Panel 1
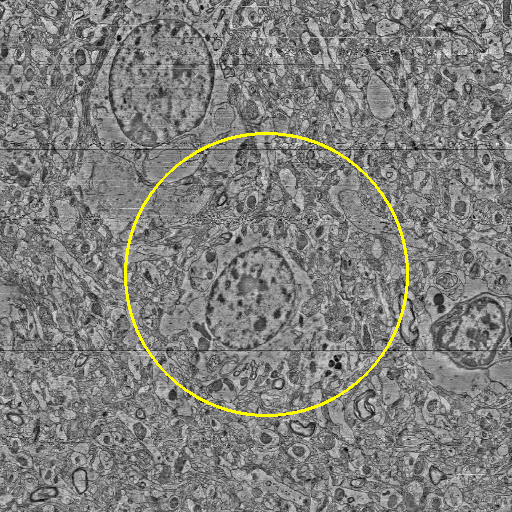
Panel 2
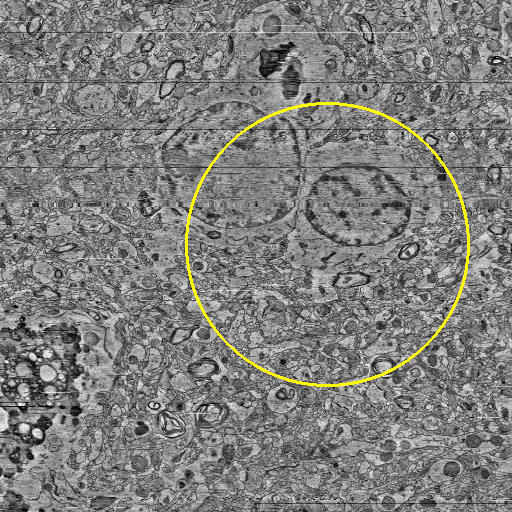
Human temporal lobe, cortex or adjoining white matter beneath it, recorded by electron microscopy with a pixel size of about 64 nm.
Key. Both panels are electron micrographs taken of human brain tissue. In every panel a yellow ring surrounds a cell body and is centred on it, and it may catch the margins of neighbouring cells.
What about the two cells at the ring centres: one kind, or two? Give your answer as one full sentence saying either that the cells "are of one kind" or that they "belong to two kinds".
Across Panels 1 and 2, the two cells at the ring centres are of one kind.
